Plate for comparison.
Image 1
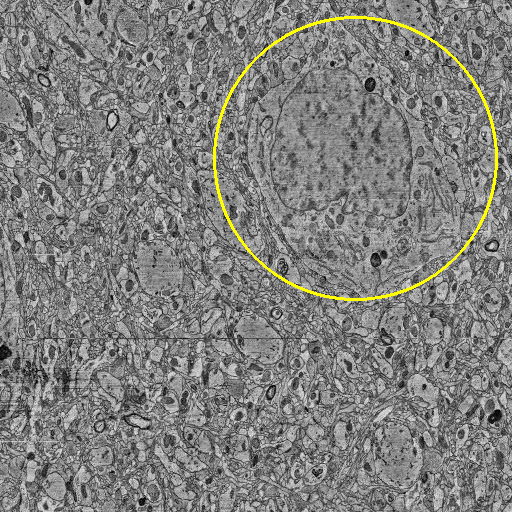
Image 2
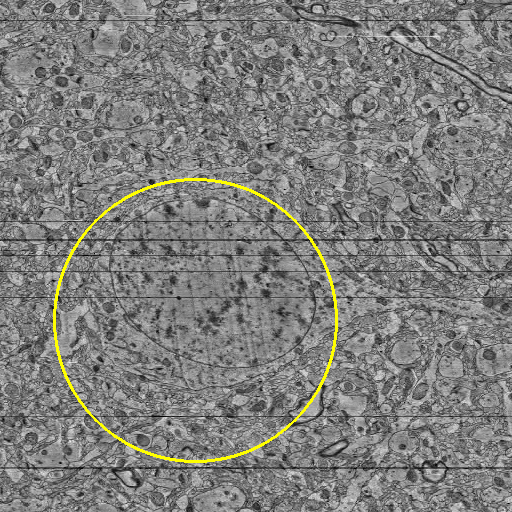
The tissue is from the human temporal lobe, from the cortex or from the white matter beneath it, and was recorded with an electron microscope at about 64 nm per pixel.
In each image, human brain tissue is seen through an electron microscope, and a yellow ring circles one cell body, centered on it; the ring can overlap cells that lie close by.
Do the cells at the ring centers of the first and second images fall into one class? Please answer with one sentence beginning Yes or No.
No, the first and second images show two classes of cell at the ring centers.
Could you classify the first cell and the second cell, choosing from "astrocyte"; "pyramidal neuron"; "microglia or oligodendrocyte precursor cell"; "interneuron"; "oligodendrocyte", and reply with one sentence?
The second cell is a pyramidal neuron, while the first is an interneuron.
